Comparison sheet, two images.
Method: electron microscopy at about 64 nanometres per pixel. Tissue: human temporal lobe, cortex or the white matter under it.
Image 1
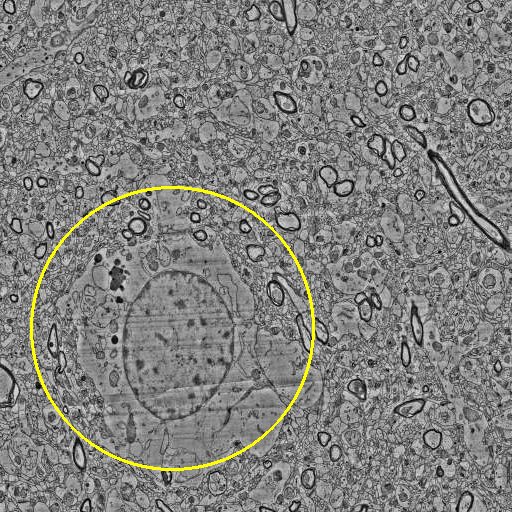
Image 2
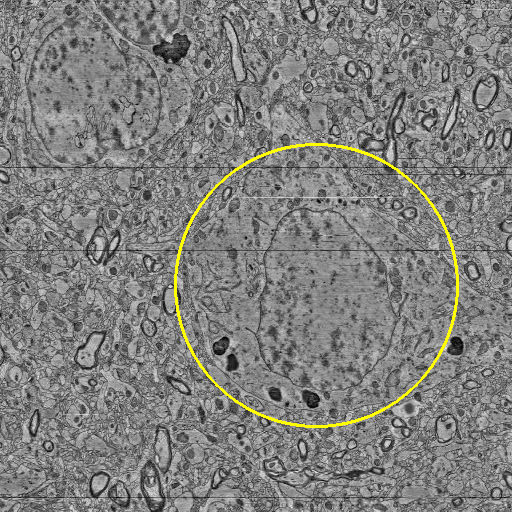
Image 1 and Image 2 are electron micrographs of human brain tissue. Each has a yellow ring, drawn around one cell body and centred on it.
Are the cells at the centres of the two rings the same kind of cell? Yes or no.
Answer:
no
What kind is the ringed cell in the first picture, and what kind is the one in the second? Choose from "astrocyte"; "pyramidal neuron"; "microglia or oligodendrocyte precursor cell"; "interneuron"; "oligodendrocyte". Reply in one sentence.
The first cell is an astrocyte; the second is a pyramidal neuron.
